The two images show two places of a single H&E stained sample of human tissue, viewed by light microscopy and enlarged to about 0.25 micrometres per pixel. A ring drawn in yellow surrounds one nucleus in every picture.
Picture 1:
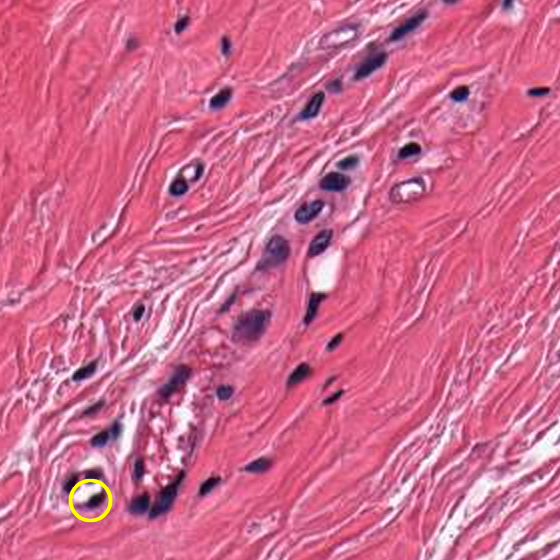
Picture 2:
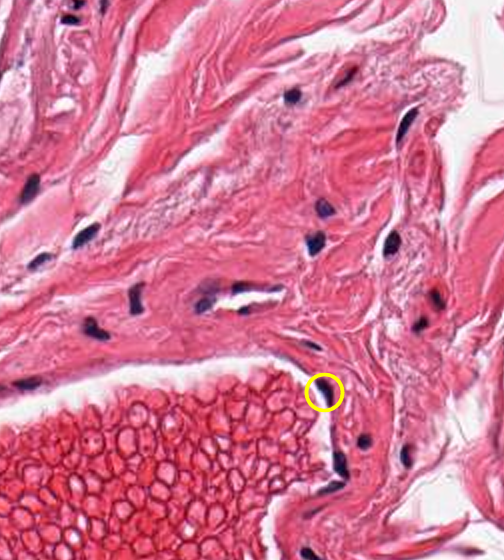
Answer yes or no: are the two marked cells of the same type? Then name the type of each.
Yes, both are endothelial cells.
